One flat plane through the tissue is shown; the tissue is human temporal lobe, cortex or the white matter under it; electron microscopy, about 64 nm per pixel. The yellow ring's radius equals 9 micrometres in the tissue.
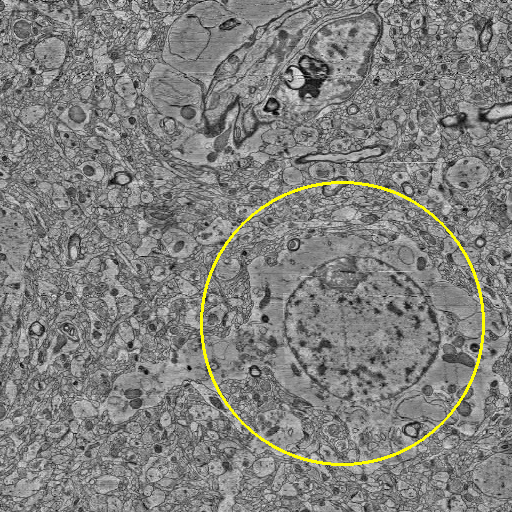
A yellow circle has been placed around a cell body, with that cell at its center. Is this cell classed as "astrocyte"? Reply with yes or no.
Yes, it belongs to that class.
